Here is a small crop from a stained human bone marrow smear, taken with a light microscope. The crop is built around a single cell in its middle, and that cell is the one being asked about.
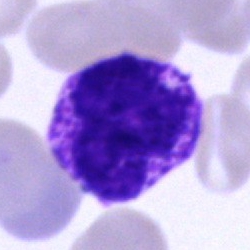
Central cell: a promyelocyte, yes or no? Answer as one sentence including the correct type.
No, the cell in the middle is categorised as a basophil, not a promyelocyte.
